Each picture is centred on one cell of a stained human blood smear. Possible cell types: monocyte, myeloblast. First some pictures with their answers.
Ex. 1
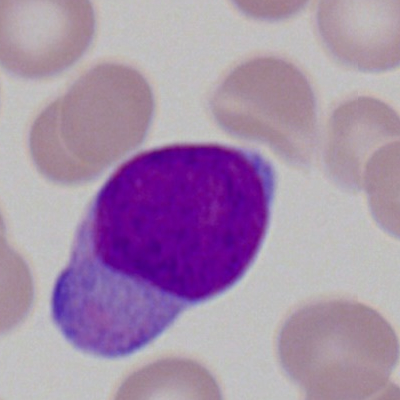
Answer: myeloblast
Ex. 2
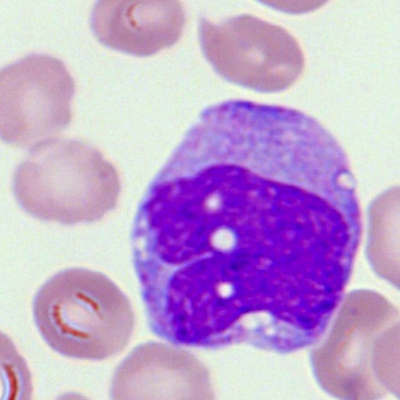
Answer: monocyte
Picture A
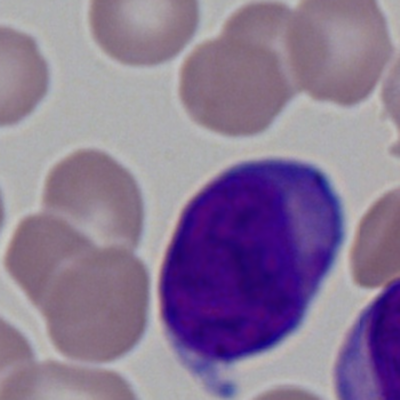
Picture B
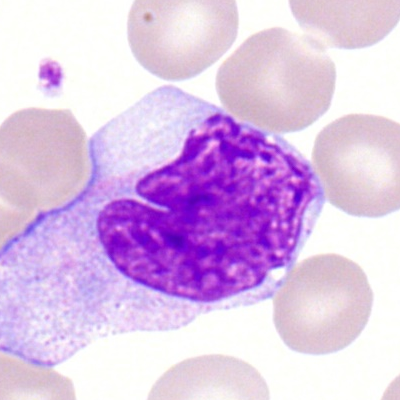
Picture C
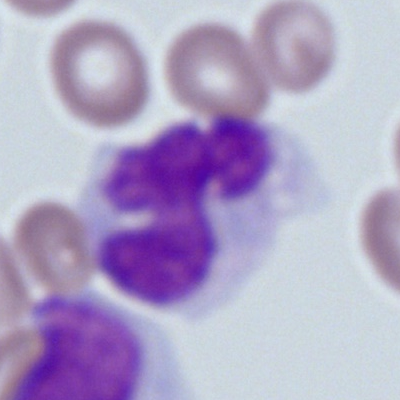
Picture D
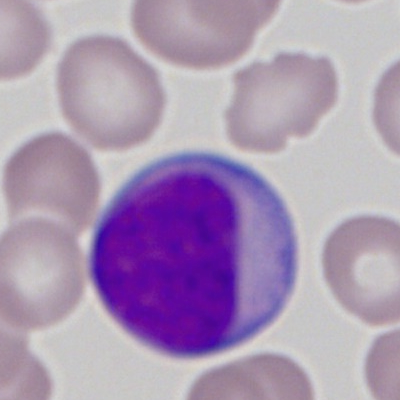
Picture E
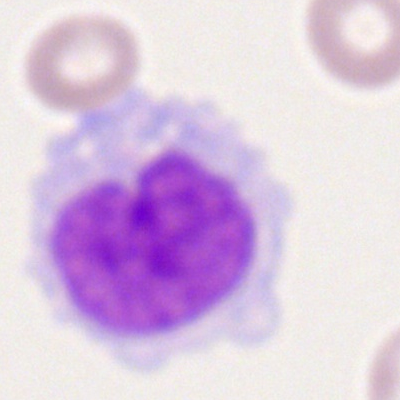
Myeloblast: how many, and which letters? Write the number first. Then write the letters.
2, namely A, D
